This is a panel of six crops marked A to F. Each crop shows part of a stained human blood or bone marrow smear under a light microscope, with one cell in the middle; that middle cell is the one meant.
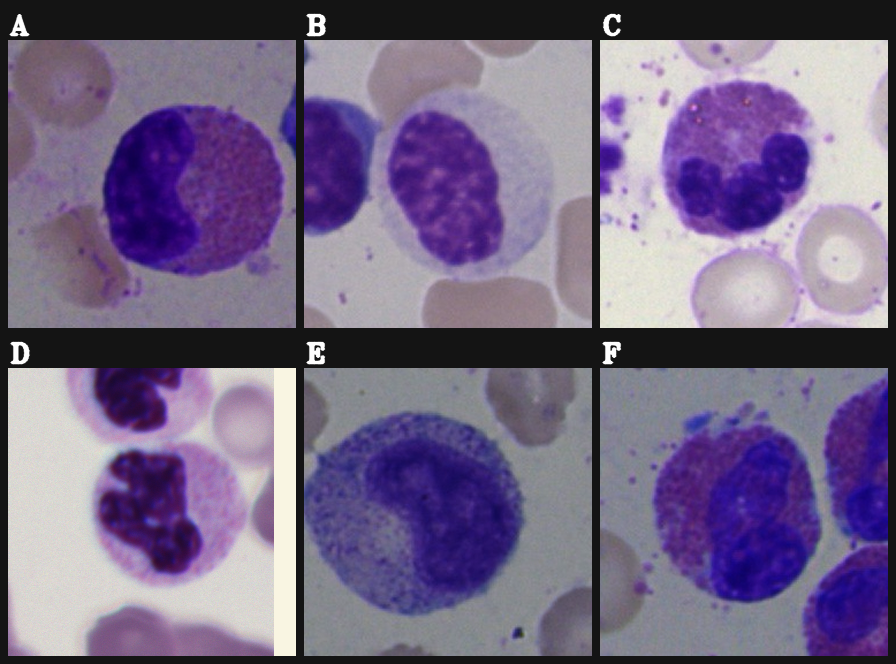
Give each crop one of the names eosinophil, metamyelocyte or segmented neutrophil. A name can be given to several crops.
A: eosinophil
B: metamyelocyte
C: eosinophil
D: segmented neutrophil
E: metamyelocyte
F: eosinophil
